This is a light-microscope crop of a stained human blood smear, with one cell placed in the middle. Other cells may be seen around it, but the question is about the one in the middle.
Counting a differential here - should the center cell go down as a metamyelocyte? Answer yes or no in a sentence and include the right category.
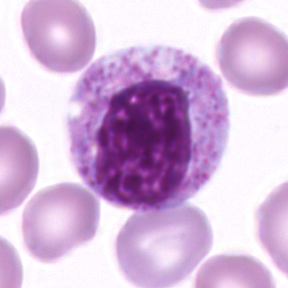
Yes, it is a metamyelocyte that is seen at the centre of the crop.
